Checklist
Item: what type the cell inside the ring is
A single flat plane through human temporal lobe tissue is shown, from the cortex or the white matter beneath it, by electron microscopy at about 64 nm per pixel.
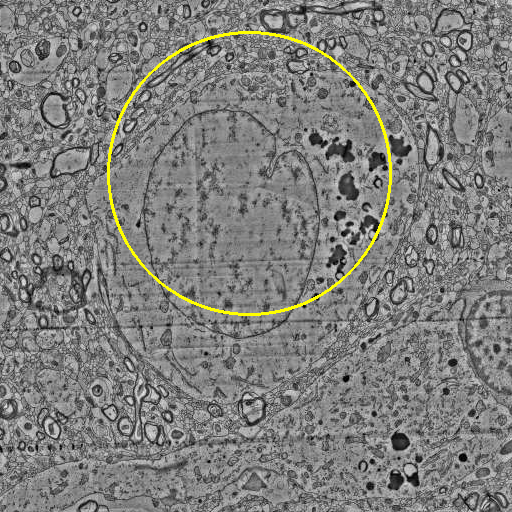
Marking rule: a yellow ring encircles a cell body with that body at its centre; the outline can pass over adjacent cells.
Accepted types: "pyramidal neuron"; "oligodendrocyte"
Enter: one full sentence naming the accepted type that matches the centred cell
The entry is that a pyramidal neuron lies at the centre of the yellow ring.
